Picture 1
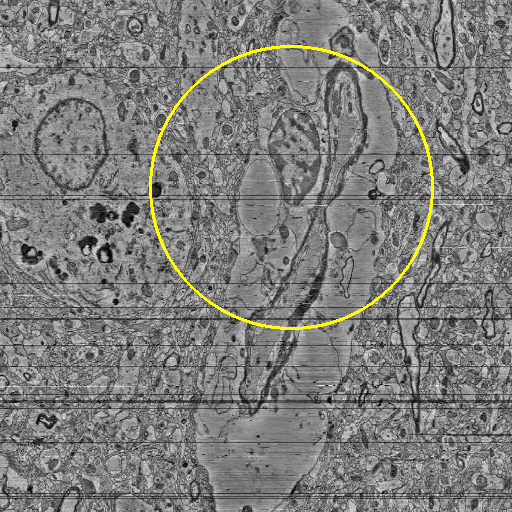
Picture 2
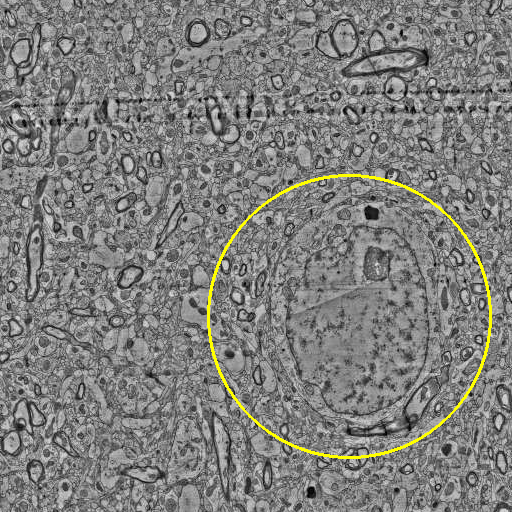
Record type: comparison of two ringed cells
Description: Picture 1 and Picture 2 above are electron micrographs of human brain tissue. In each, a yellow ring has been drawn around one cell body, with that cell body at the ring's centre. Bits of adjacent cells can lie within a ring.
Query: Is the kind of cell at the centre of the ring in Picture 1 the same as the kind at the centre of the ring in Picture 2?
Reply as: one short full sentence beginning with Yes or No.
No, the two ringed cells are of two separate kinds.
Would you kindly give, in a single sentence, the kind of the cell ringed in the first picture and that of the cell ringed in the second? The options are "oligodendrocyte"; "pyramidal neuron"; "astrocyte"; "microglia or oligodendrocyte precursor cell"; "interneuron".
The second cell is a pyramidal neuron, and the first cell is a microglial cell or oligodendrocyte precursor cell.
